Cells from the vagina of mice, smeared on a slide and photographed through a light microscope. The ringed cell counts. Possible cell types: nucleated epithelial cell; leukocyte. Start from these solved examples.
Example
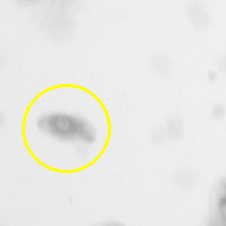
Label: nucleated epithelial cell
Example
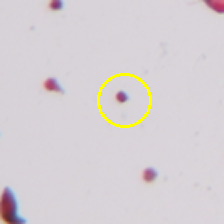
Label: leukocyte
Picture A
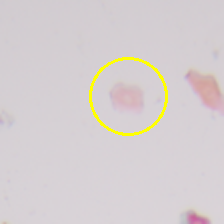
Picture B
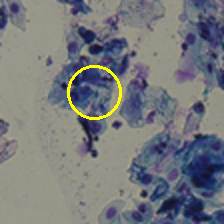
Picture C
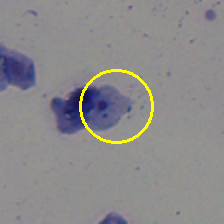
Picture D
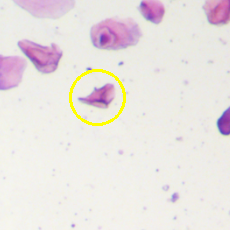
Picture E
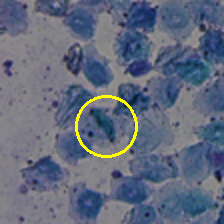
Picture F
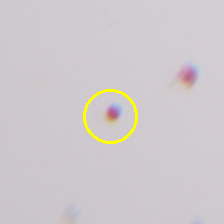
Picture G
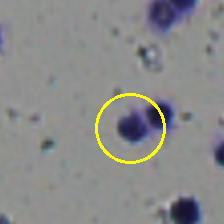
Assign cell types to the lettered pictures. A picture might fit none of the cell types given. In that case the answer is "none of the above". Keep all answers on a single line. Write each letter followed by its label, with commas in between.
A none of the above, B nucleated epithelial cell, C nucleated epithelial cell, D none of the above, E none of the above, F leukocyte, G leukocyte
